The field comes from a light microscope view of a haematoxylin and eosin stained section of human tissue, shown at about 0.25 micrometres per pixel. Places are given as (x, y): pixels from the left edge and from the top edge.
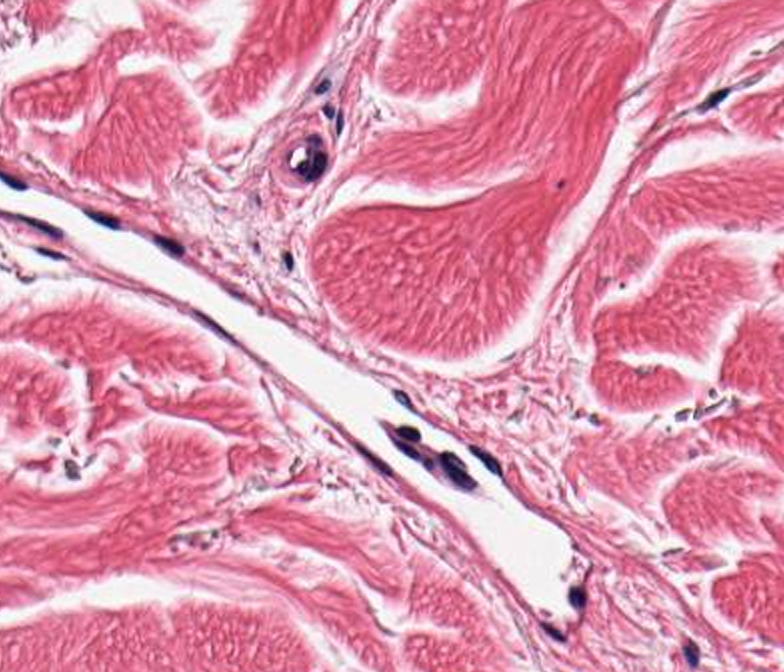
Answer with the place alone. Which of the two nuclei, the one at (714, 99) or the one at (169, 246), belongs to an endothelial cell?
(169, 246)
